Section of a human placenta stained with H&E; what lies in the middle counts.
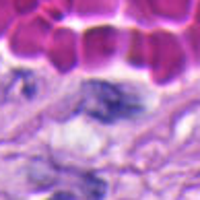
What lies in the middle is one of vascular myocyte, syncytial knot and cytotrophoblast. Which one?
vascular myocyte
